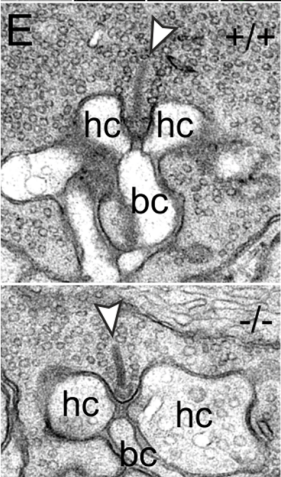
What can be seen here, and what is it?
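These electron micrographs show a photoreceptor terminal in the outer plexiform layer of the retina, with postsynaptic processes of horizontal cells and a bipolar cell invaginating into it. The terminal cytoplasm is packed with small, round, clear synaptic vesicles. A dark, elongated, plate-like ribbon stands perpendicular to the presynaptic membrane at the apex of the invagination, surrounded by vesicles. Two horizontal cell processes flank the ribbon laterally, while a bipolar cell dendrite lies more centrally and deeper in the invagination, forming a triad. The postsynaptic processes appear pale, with few organelles, and are outlined by dense membranes.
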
